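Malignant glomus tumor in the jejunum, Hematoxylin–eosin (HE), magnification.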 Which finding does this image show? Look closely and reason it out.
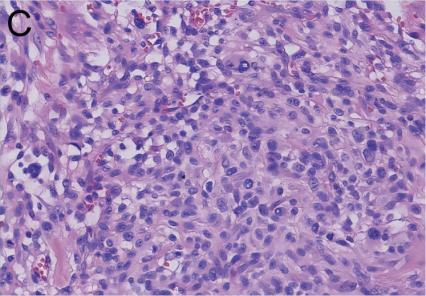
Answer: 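Epithelioid morphology. Cells are polygonal with distinct pink to clear cytoplasm. Nuclei are round to oval. Nuclei vary in size and some are enlarged and dark.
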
